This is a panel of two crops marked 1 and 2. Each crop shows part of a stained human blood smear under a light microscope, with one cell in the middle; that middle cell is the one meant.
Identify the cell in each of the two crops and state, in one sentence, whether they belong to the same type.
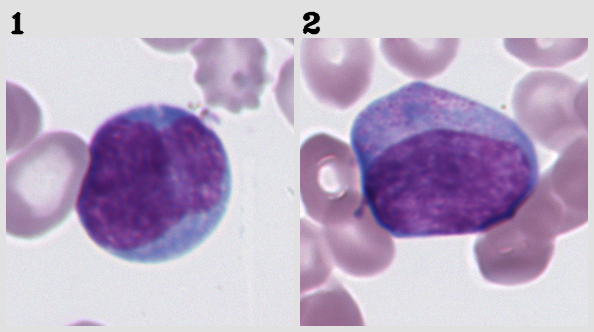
No, a myeloblast is centred in crop 1, and an atypical promyelocyte is centred in crop 2.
